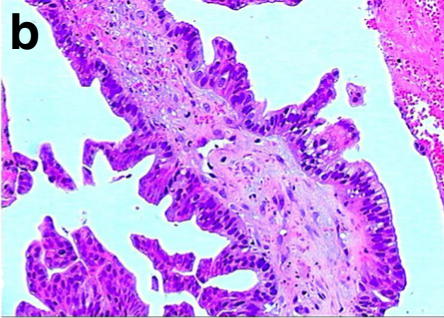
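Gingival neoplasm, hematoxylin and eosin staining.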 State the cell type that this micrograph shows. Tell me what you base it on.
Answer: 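Adenocarcinoma cells. Papillary fronds with fibrovascular cores are lined by columnar epithelial cells. The epithelial nuclei are crowded, stratified and dark.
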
